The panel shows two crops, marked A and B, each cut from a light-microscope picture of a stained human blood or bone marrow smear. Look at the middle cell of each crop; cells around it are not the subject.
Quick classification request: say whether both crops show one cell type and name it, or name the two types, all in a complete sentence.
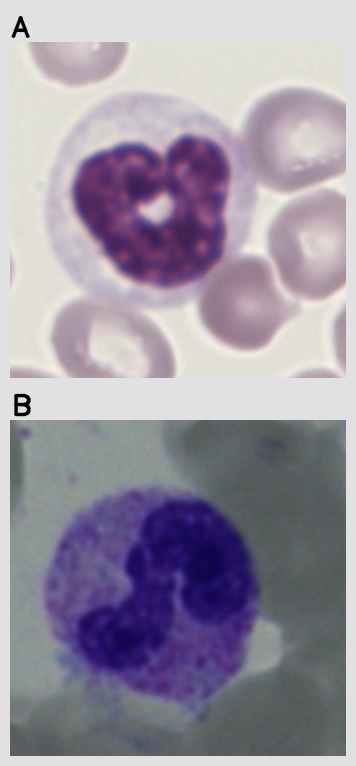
Yes, the cells under consideration in both crops are band neutrophils.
